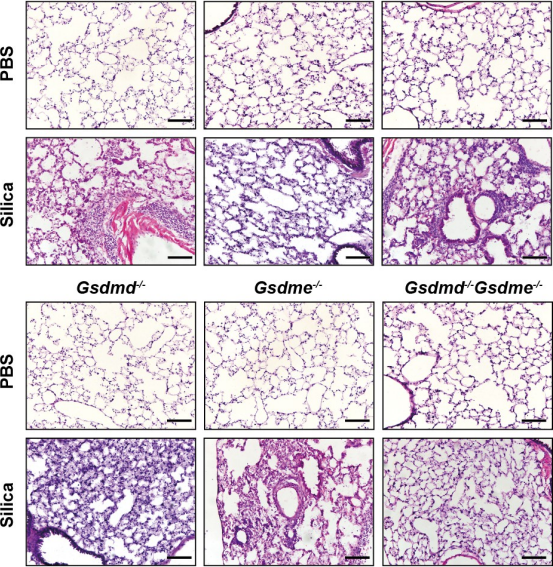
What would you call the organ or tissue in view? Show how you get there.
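Lung. Thin-walled air spaces separated by delicate septa fill most frames. Tubular airways lined by epithelium appear in several frames.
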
